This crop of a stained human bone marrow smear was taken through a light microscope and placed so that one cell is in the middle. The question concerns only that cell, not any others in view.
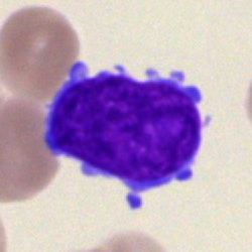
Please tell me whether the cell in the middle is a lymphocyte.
no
